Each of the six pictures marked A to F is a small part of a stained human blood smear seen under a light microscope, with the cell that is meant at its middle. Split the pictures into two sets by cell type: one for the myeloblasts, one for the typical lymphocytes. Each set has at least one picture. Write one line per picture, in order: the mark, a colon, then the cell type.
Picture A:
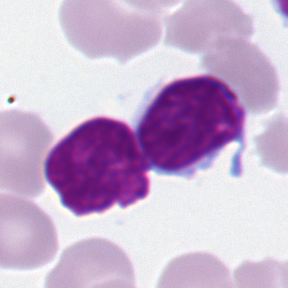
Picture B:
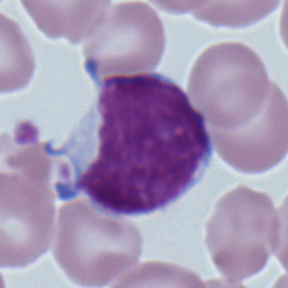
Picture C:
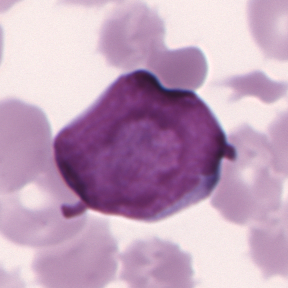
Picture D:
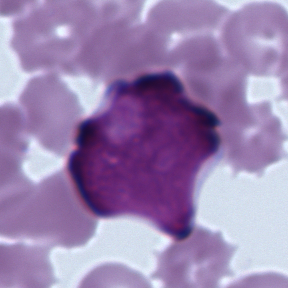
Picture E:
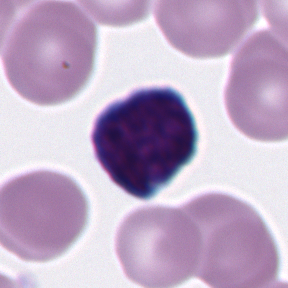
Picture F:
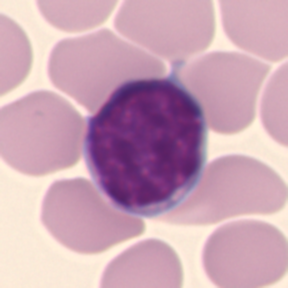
A: myeloblast
B: typical lymphocyte
C: myeloblast
D: myeloblast
E: typical lymphocyte
F: typical lymphocyte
